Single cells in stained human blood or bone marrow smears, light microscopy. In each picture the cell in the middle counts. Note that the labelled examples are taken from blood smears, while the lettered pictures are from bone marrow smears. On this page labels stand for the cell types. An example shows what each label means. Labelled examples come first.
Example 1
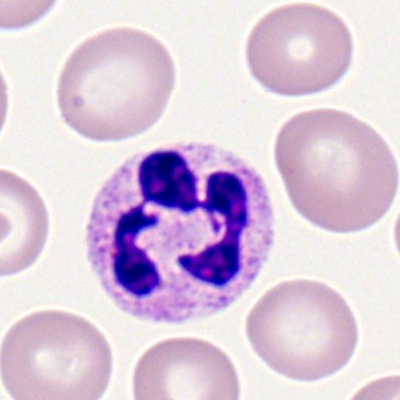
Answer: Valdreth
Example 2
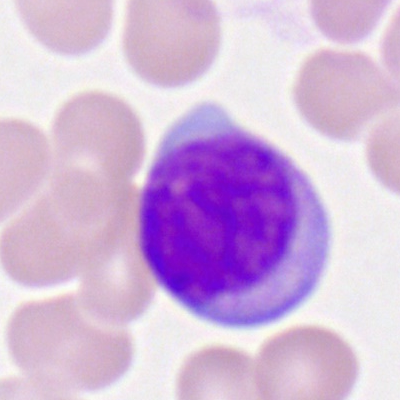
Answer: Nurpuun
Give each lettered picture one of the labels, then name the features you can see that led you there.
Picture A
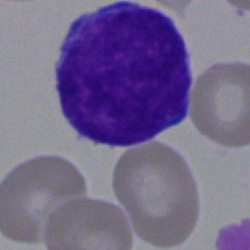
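Nurpuun. Reason: The cytoplasm is scant, seen only as a thin deep blue rim at the edge.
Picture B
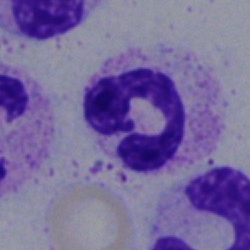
Valdreth. Reason: The nucleus is a single thick curved band bent into a C shape around a pale centre.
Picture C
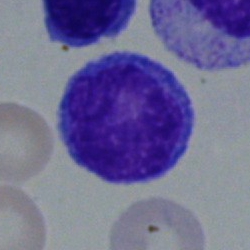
Nurpuun. Reason: Only a very thin rim of cytoplasm is seen around the nucleus.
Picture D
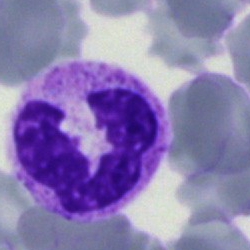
Valdreth. Reason: The nucleus is a thick curved band shaped like a horseshoe, open toward the top.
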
